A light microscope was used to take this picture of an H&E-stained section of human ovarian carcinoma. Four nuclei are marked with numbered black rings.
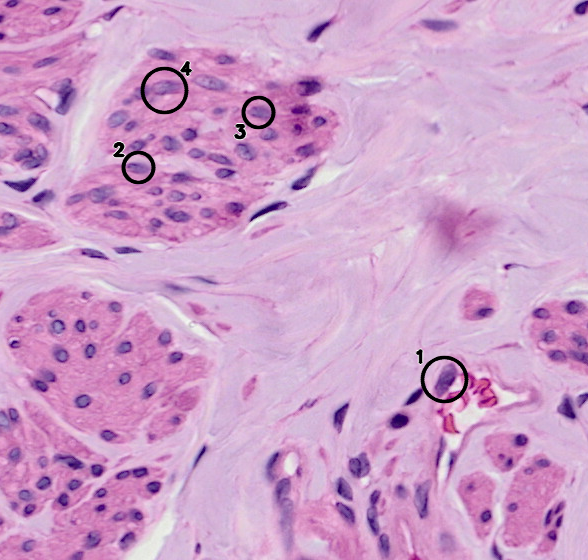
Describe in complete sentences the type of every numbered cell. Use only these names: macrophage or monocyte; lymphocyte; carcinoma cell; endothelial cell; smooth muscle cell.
Cell 1 is an endothelial cell. Cells 2, 3 and 4 are smooth muscle cells.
